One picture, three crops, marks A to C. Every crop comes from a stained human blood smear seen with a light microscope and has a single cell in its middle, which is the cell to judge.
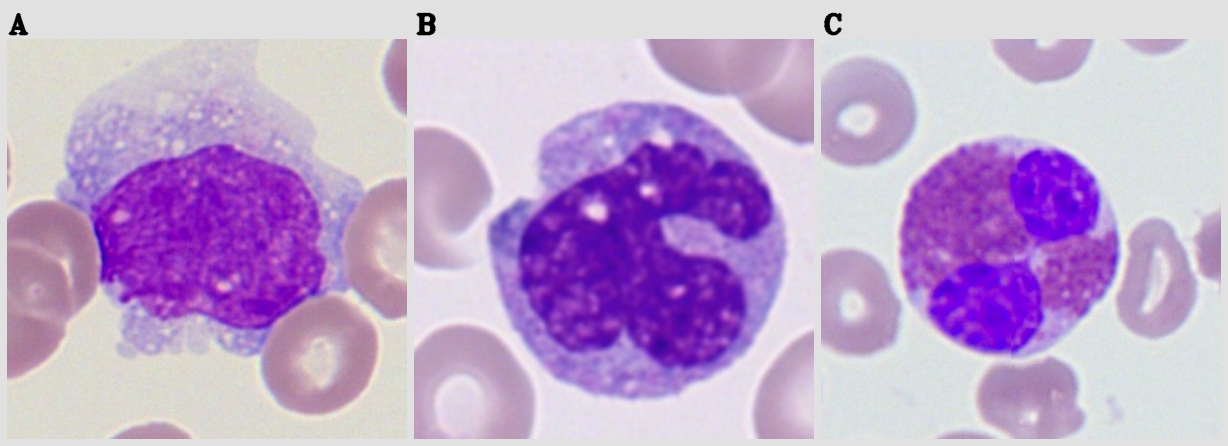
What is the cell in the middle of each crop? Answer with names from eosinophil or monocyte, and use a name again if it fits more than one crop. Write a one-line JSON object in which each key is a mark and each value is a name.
{"A": "monocyte", "B": "monocyte", "C": "eosinophil"}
